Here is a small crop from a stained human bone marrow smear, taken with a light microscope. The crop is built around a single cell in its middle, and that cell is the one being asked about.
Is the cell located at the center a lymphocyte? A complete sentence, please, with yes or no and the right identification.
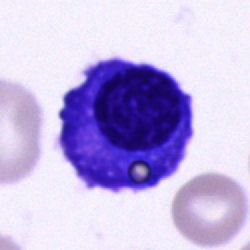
No, at the middle of the crop is a plasma cell, not a lymphocyte.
